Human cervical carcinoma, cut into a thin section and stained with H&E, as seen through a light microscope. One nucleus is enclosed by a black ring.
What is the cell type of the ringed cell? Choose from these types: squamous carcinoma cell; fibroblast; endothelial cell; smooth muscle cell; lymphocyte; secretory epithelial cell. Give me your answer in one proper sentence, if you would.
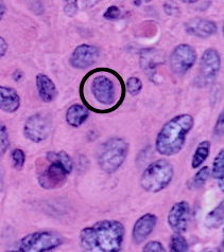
The identity of the ringed cell is that of a squamous carcinoma cell.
